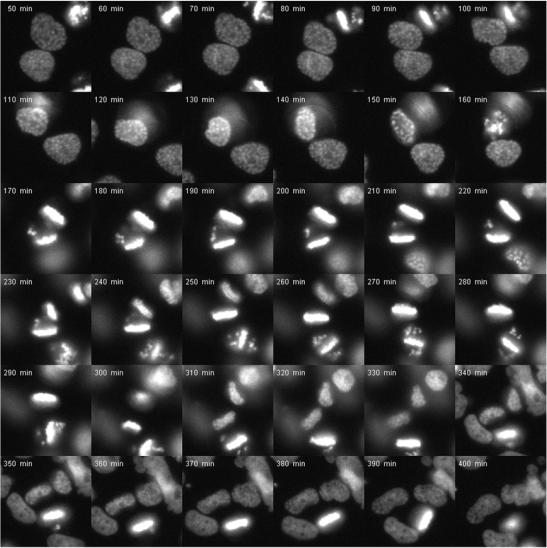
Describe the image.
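Early on two round nuclei lie side by side with fine, even chromatin. Over many frames the chromatin inside still-rounded nuclei turns speckled and clumpy, showing condensed chromosomes well before the nucleus breaks down. Later the chromosomes of the cells gather into bright bars, metaphase plates, which persist over many frames, with some loose chromosome clumps beside them for a while.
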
